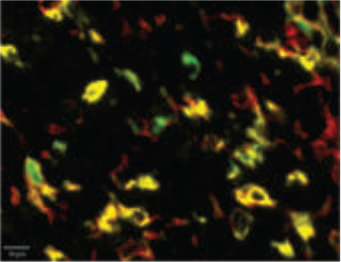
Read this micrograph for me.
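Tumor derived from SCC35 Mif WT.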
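The cells are irregular, rounded to elongated, and many glow yellow with overlapping red, so that the three colours appear co-localised in the same cells. Some cells show brighter rims of stain around a darker centre, outlining the cell body. They lie singly and in small loose groups throughout the field.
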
